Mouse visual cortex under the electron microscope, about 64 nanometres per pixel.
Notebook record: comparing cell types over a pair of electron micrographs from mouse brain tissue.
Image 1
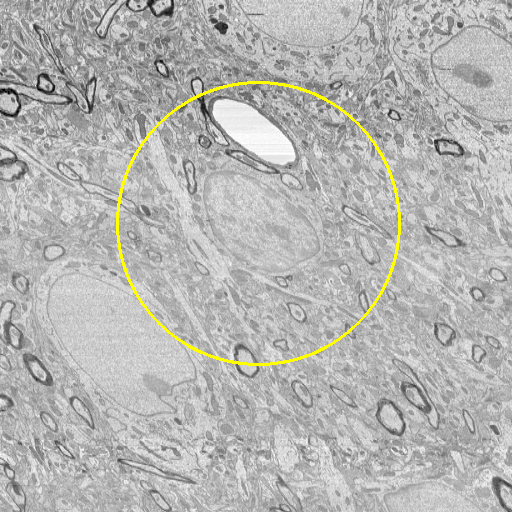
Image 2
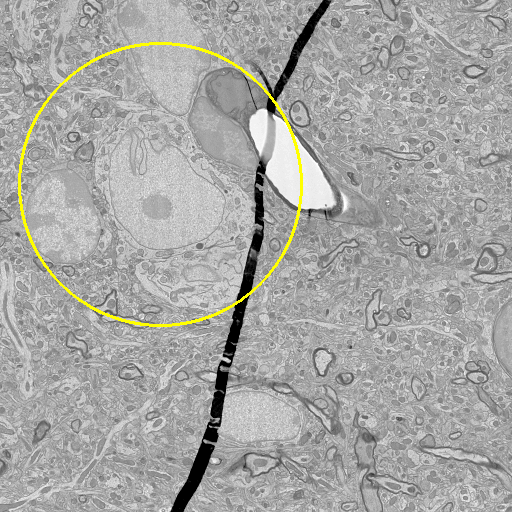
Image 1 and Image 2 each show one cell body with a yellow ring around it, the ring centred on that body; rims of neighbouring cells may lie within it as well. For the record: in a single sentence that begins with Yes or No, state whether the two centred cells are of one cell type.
No, two cell types are found among the centred cells of Image 1 and Image 2.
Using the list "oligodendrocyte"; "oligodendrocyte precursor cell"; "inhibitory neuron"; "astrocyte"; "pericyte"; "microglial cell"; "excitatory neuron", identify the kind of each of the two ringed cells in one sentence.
The first is an oligodendrocyte and the second is an excitatory neuron.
